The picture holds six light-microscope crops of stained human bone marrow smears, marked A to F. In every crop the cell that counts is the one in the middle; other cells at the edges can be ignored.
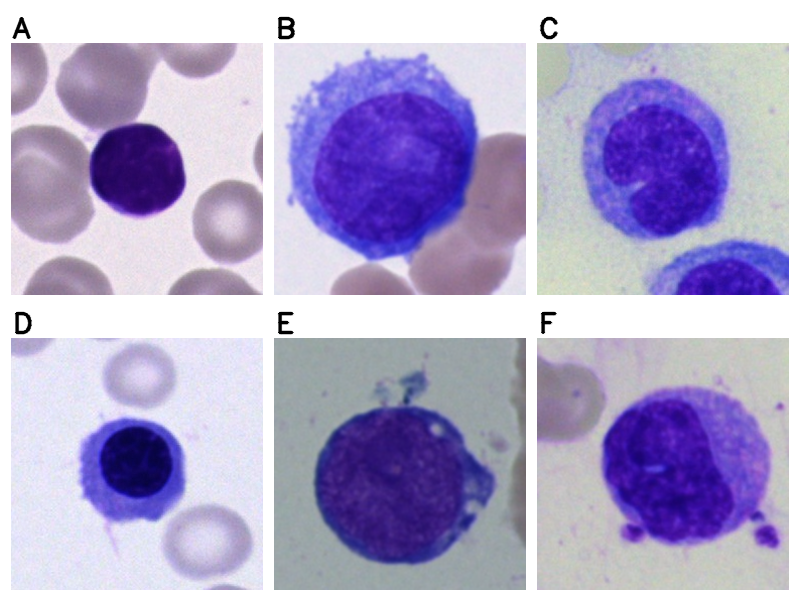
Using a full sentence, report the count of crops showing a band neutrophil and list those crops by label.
The count here is zero, as not one crop shows band neutrophils.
